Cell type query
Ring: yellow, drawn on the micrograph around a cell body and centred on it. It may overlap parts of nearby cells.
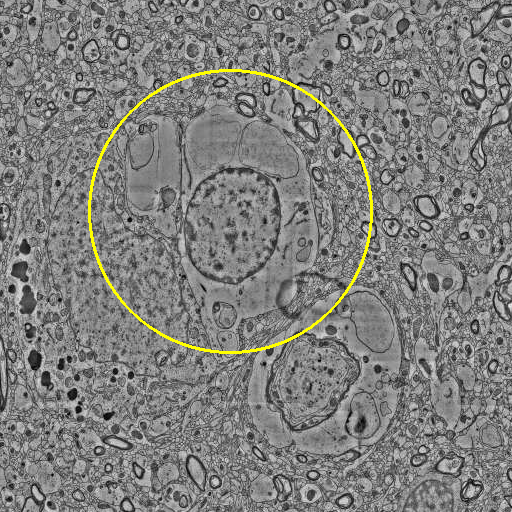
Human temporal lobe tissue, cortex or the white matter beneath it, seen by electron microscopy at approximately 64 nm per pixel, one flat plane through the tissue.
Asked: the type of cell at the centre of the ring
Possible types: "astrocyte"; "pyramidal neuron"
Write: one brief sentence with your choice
The ring marks an astrocyte.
